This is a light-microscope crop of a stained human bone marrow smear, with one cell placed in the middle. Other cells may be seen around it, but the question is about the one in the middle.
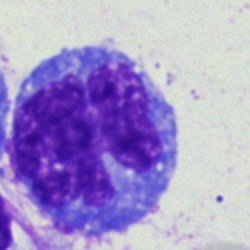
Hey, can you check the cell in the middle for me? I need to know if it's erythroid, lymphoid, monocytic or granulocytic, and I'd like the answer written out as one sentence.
That the central cell belongs to the monocytic lineage is the finding here.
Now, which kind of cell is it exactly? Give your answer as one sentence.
The cell nearest the centre of this crop is a monocyte.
